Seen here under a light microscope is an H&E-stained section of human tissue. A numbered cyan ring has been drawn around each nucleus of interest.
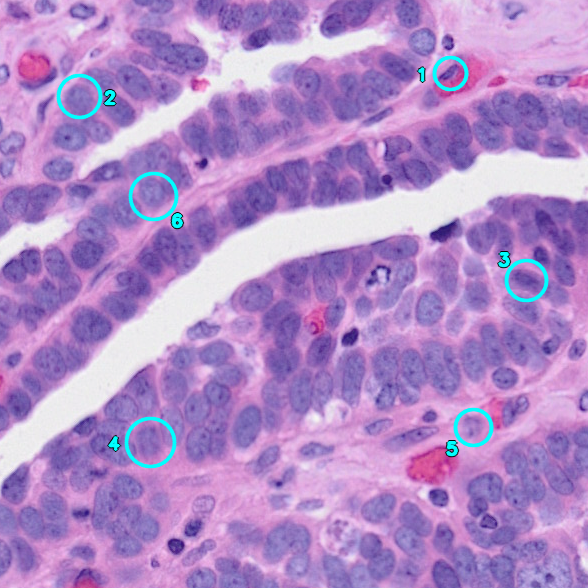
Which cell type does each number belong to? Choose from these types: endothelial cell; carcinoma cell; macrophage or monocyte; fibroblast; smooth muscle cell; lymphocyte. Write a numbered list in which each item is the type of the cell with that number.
1. endothelial cell
2. carcinoma cell
3. carcinoma cell
4. carcinoma cell
5. fibroblast
6. carcinoma cell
